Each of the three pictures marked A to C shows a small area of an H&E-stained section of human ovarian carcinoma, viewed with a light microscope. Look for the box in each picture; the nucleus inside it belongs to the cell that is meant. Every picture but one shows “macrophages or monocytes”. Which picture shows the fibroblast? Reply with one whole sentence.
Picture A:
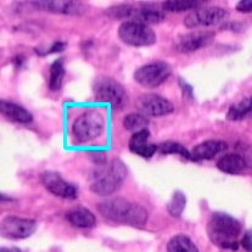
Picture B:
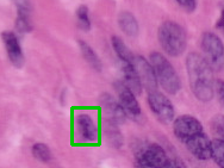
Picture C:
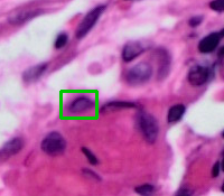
It is picture C that shows the fibroblast.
